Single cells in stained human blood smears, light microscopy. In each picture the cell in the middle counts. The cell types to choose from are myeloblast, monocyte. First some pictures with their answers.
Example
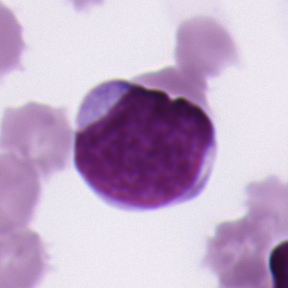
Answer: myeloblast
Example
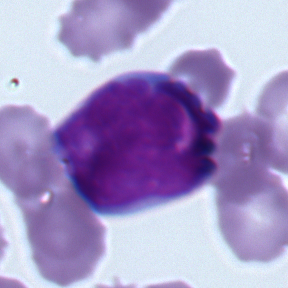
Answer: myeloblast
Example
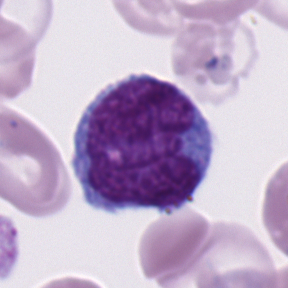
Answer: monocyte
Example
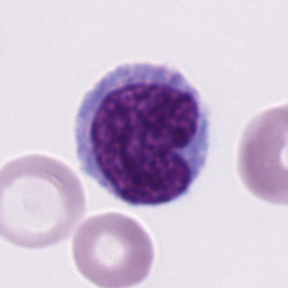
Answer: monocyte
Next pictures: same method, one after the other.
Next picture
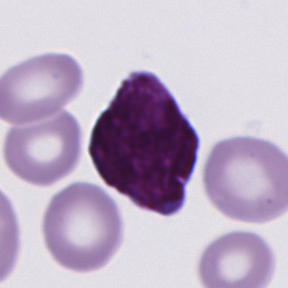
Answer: myeloblast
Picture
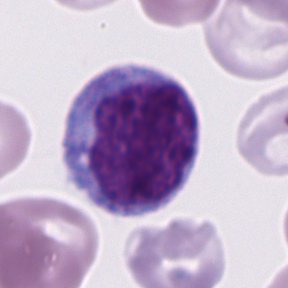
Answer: monocyte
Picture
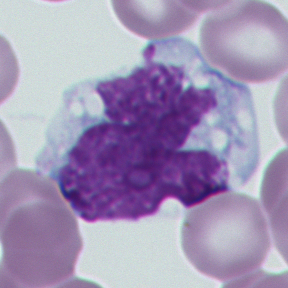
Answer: monocyte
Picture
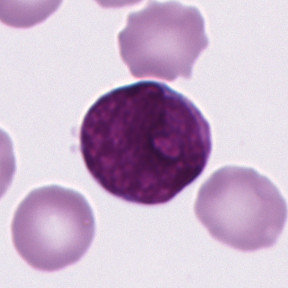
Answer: myeloblast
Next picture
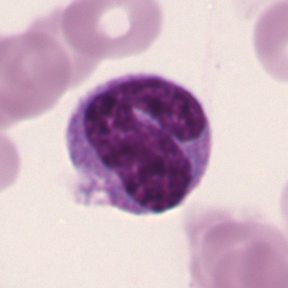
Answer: monocyte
